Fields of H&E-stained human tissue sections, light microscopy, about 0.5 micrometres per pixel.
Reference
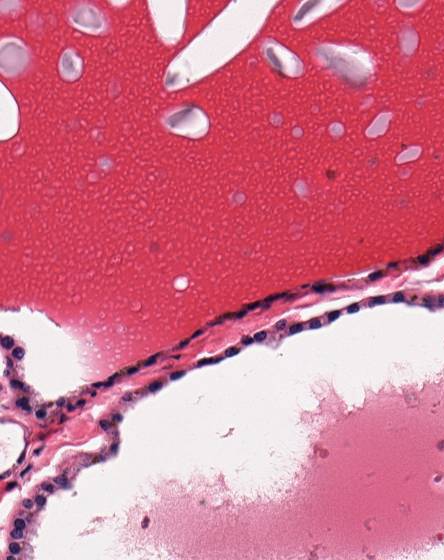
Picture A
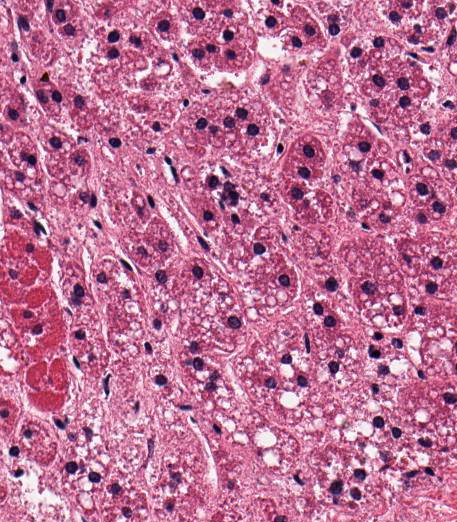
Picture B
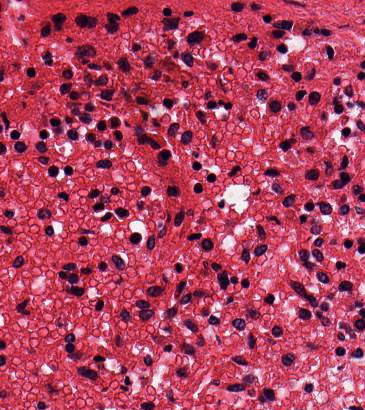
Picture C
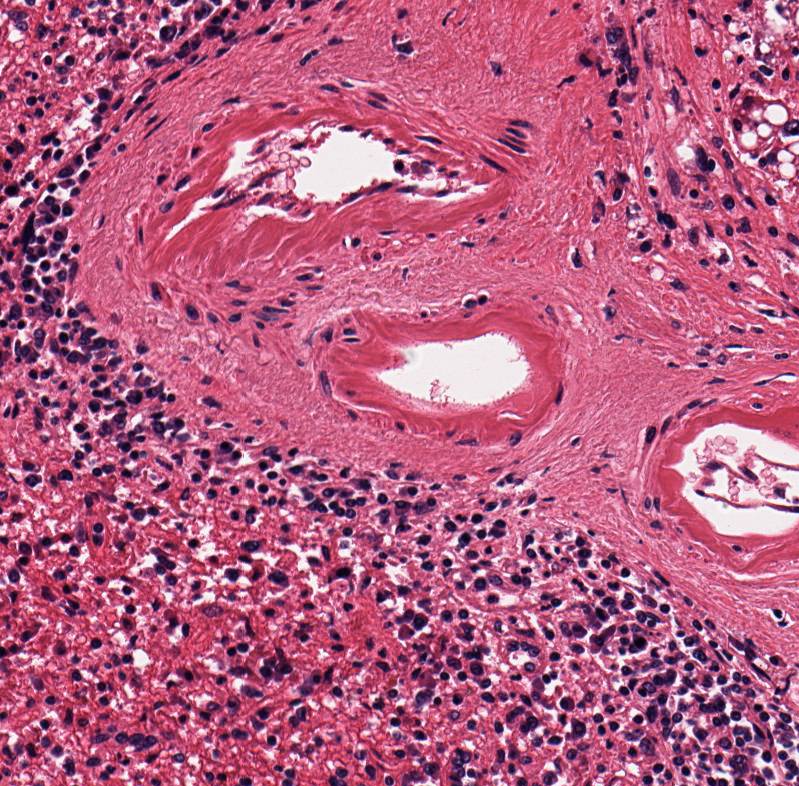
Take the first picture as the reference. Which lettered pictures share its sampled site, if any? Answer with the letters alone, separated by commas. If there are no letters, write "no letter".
no letter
